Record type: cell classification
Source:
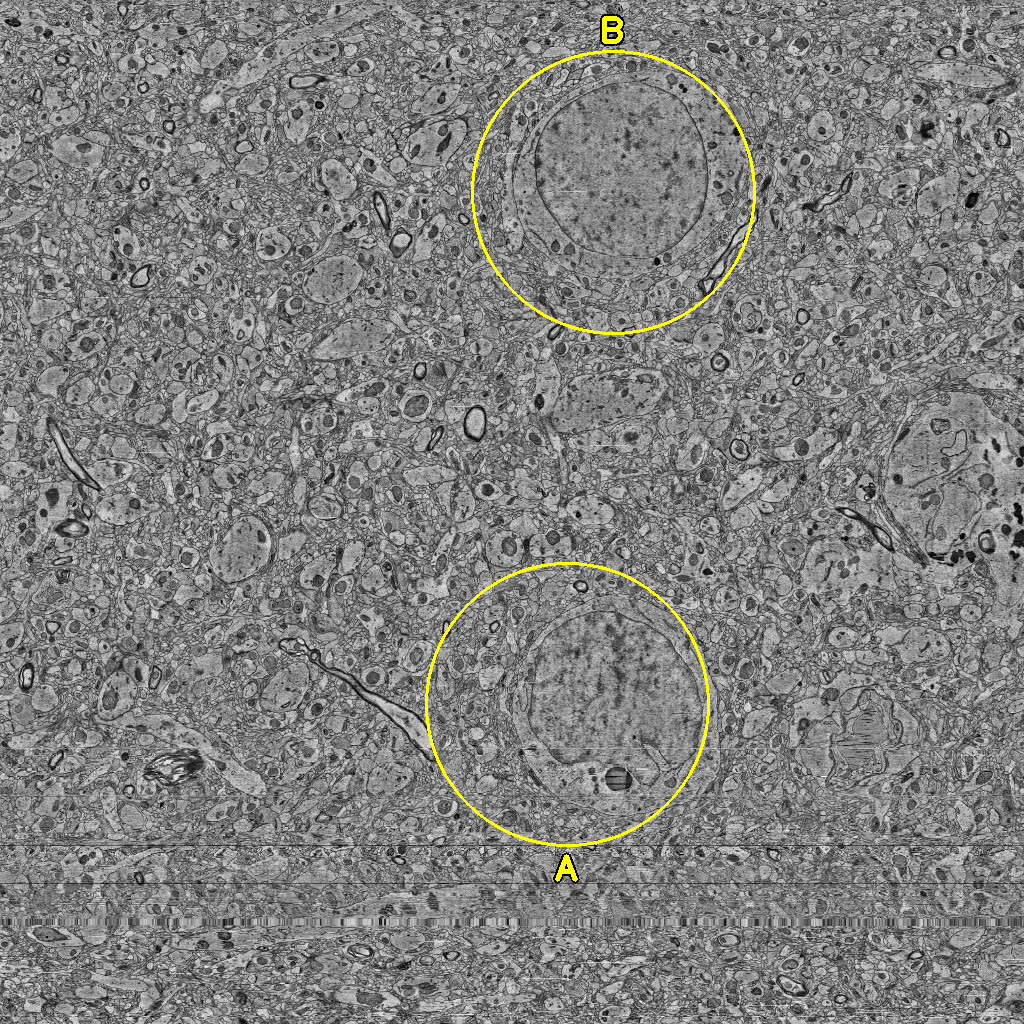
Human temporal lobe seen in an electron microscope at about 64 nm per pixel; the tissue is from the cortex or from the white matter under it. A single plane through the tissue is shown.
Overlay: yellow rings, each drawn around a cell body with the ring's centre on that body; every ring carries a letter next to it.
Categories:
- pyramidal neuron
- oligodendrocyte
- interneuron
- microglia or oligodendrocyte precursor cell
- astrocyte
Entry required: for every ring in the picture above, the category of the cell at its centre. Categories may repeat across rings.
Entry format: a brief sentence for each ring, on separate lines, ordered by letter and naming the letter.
At the centre of ring A lies an interneuron.
At the centre of ring B lies a pyramidal neuron.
